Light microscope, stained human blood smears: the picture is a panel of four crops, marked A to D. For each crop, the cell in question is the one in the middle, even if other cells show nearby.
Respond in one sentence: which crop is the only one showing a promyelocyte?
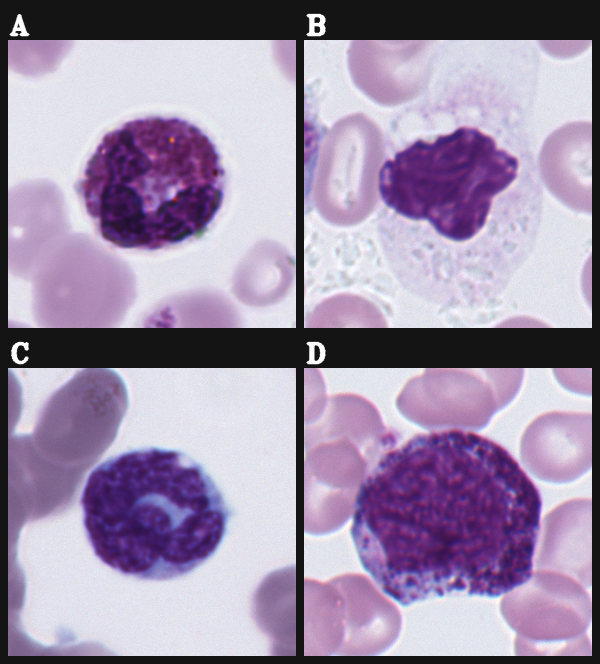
Crop D is the one to choose: it shows a promyelocyte.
